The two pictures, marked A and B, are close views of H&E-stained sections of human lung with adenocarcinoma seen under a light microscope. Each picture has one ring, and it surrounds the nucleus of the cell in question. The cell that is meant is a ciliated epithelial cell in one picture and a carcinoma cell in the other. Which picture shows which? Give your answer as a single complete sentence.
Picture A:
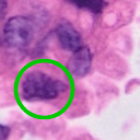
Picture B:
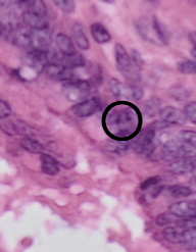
The cell in picture A is a carcinoma cell, and the one in picture B is a ciliated epithelial cell.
